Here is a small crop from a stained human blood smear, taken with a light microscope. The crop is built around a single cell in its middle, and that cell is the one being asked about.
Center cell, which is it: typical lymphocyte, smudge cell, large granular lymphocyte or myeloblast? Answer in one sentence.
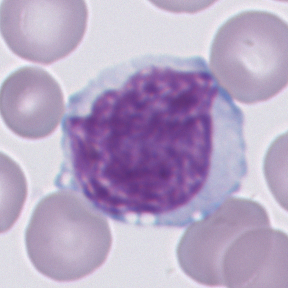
The middle of this crop holds a myeloblast.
